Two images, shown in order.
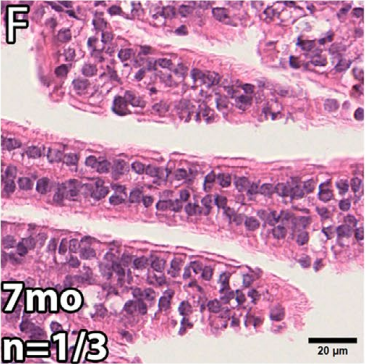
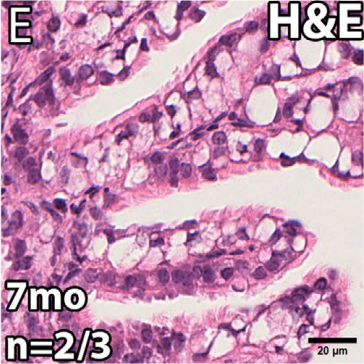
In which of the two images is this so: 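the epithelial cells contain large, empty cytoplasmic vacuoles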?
The second image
